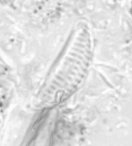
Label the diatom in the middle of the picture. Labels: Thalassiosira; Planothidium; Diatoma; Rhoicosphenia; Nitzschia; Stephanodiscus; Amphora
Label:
Amphora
